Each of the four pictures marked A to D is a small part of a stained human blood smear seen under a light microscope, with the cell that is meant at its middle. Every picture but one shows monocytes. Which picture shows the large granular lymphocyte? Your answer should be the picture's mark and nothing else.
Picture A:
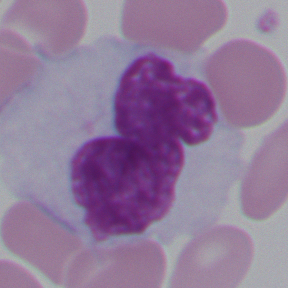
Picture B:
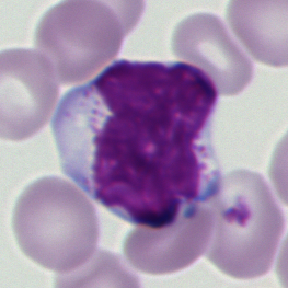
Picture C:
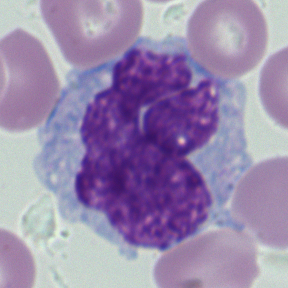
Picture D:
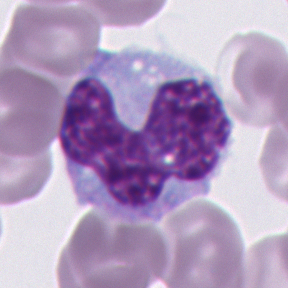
B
